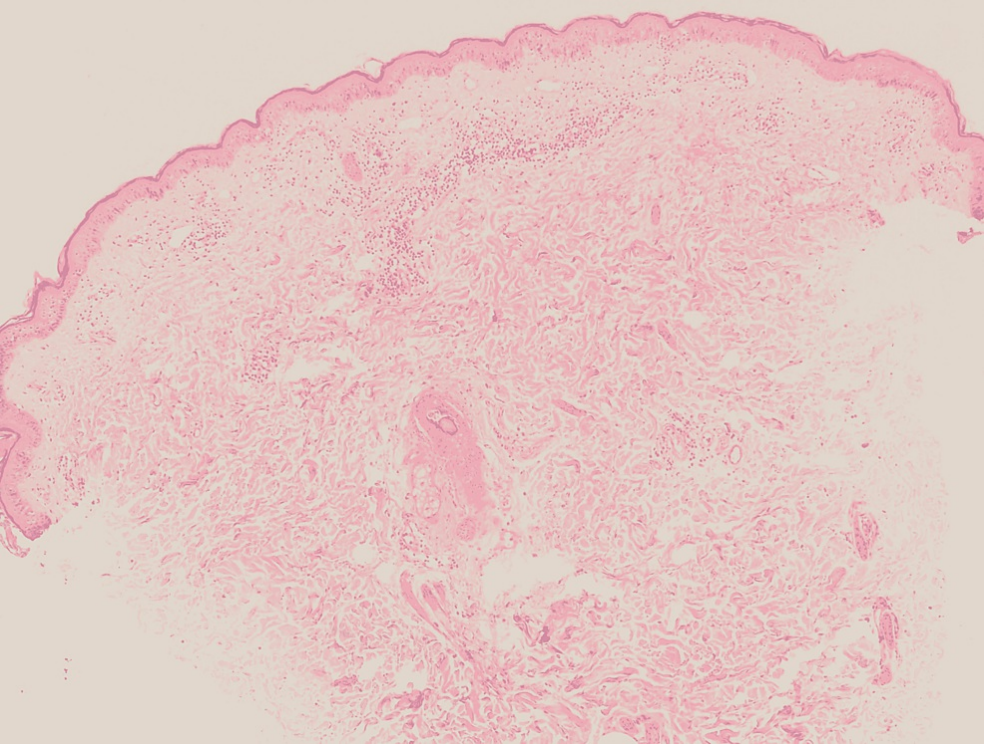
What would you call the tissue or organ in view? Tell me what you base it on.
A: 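A thin, more deeply pink stratified surface layer runs along the curved upper edge. Beneath it lies a broad layer of paler, wavy fibrous connective tissue. On this evidence: skin.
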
